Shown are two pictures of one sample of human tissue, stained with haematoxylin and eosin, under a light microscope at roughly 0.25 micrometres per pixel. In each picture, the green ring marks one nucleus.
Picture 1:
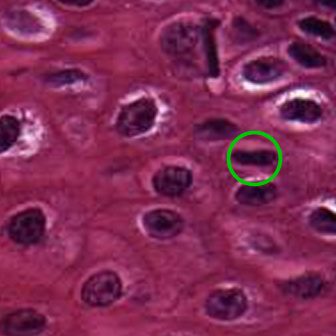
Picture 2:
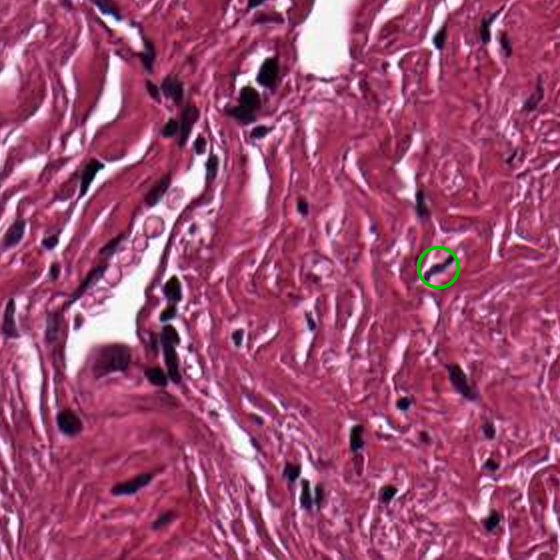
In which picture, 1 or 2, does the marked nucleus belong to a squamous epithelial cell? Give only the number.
1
